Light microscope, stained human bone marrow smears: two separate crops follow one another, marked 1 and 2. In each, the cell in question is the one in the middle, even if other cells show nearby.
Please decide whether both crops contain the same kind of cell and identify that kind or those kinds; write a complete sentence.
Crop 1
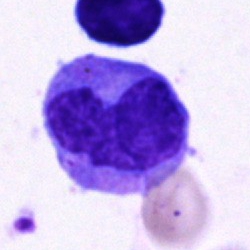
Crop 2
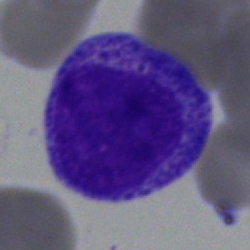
No, crop 2 shows a promyelocyte, and crop 1 shows a monocyte.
